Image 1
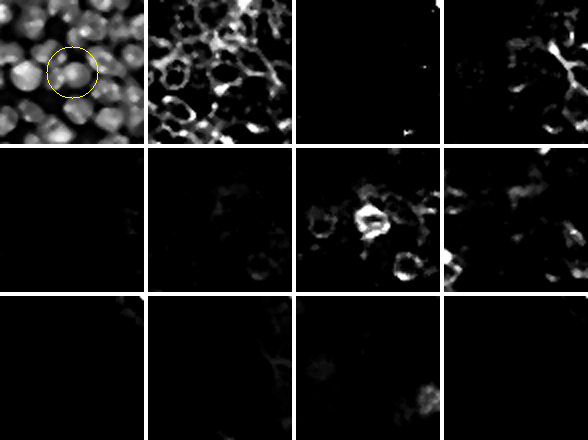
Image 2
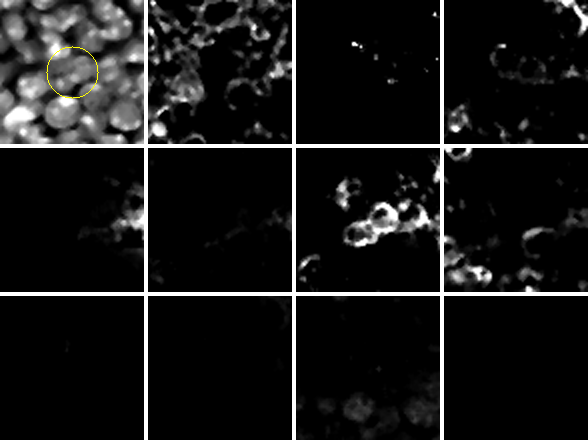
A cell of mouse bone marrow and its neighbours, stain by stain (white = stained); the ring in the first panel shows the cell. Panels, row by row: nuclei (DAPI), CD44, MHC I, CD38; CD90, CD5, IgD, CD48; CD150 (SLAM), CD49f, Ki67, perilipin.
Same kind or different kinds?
Same: B cells.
